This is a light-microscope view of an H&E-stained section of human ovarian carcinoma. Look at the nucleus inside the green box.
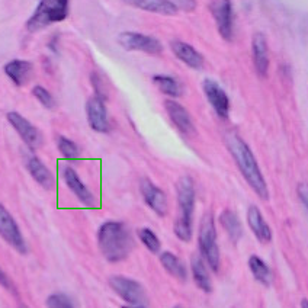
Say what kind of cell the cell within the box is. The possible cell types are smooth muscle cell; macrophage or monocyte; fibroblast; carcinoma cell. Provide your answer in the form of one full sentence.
It is a smooth muscle cell that the cell within the box represents.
